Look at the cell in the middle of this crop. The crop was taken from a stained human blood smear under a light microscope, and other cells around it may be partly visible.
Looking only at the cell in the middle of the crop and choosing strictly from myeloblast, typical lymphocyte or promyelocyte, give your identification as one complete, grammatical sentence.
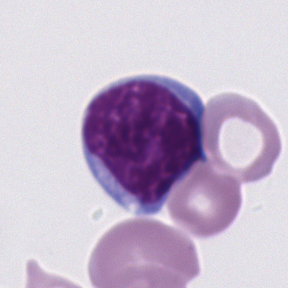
The central cell shown in this smear crop is a typical lymphocyte.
